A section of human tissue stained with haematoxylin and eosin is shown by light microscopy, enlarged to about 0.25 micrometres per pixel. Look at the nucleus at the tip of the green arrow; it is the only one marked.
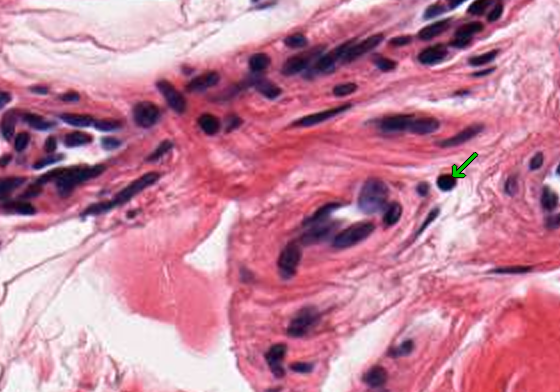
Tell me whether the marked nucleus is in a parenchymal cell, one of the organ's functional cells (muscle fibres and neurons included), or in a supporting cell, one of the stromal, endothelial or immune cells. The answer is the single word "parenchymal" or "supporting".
supporting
